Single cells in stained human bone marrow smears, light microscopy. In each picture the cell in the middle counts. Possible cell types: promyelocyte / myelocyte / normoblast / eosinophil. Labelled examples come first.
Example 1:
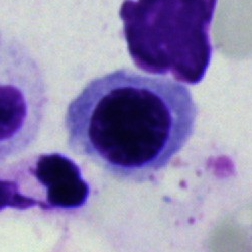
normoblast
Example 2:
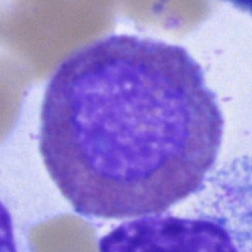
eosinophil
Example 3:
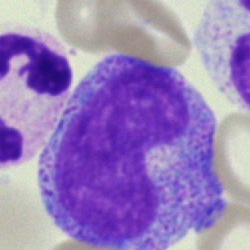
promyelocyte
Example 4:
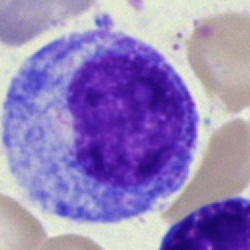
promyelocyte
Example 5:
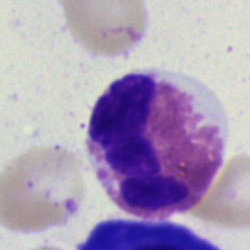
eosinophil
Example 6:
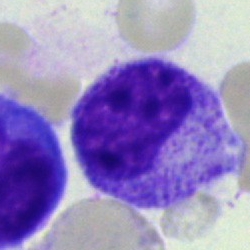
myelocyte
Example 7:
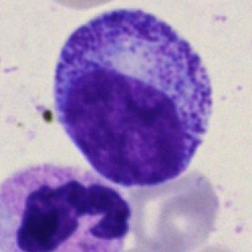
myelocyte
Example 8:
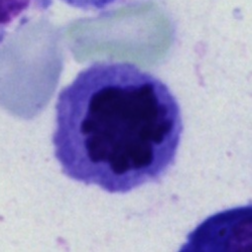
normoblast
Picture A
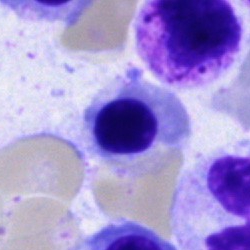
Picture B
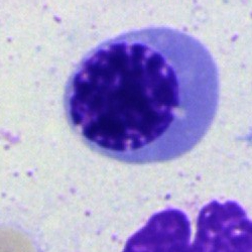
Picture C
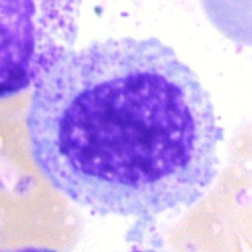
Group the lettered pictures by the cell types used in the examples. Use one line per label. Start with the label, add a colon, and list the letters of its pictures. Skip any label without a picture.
myelocyte: C
normoblast: A, B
